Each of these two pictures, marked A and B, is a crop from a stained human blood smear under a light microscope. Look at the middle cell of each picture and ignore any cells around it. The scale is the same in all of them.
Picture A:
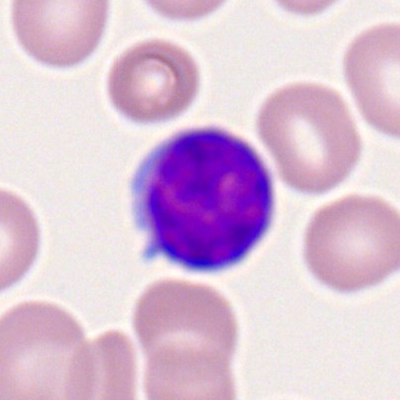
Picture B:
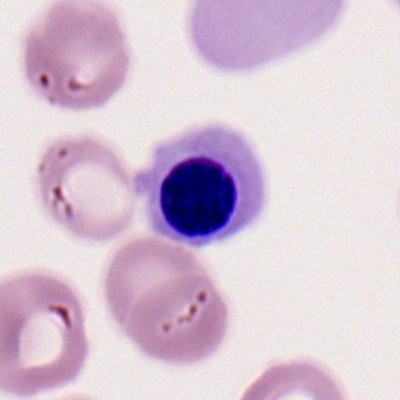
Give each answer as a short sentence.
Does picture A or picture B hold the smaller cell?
The cell in picture B is smaller; the one in picture A has about 1.5 times its area.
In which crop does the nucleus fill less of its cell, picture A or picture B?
In picture B the nucleus takes up the smaller part of its cell.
